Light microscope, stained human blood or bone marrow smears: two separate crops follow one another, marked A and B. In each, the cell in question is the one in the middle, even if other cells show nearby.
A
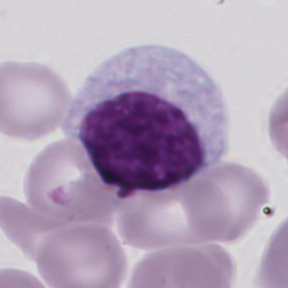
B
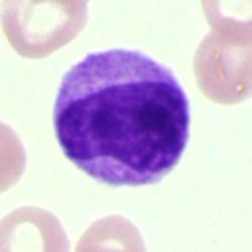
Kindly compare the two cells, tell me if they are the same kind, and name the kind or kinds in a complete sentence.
Yes, it is metamyelocytes that both crops show.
